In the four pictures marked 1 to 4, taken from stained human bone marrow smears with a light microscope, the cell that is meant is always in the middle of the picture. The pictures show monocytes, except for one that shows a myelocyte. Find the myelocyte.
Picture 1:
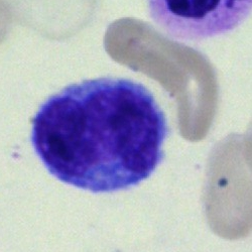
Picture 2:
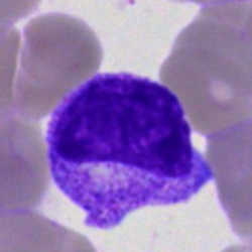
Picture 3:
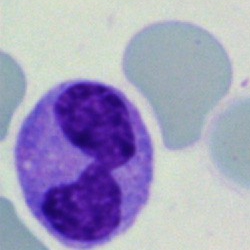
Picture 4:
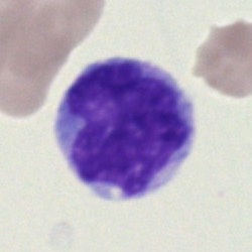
2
